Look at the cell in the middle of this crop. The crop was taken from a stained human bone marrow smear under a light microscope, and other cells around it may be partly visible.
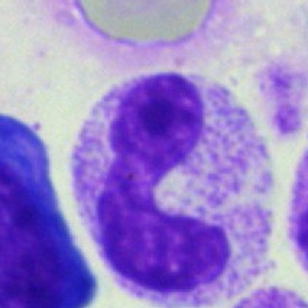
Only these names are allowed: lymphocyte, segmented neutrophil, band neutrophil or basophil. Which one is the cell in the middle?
band neutrophil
